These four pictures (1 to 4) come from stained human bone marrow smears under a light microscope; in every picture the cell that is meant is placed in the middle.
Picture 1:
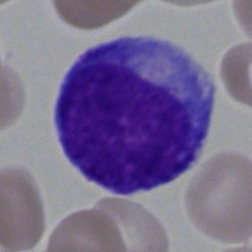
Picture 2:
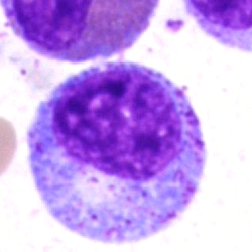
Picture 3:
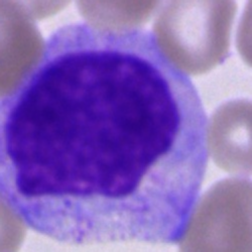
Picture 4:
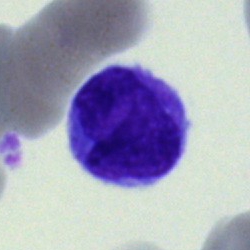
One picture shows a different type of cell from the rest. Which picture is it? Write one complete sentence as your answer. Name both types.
All pictures except 4 show promyelocytes; picture 4 shows a monocyte.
